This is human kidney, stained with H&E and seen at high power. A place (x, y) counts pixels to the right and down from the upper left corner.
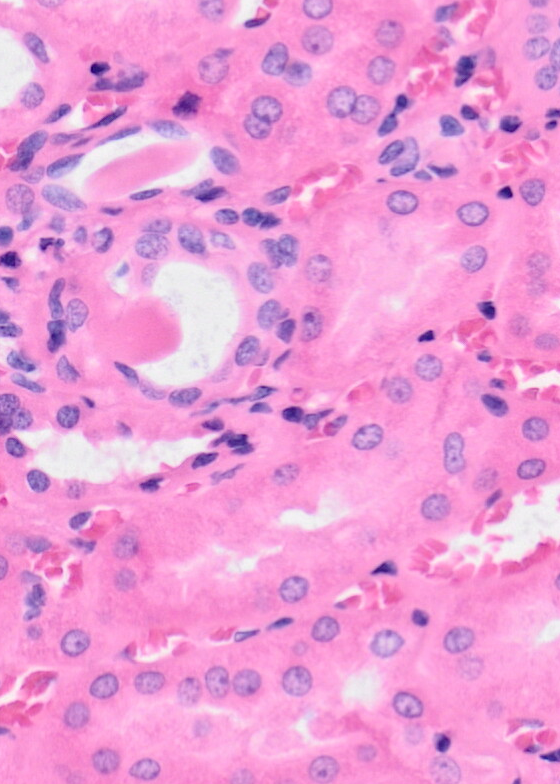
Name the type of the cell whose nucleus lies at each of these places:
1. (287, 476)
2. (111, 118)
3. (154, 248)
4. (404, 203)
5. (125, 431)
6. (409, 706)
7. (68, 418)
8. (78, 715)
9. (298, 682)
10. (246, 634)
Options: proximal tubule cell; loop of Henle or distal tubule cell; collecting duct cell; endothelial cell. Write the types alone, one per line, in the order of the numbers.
proximal tubule cell
endothelial cell
collecting duct cell
proximal tubule cell
loop of Henle or distal tubule cell
proximal tubule cell
loop of Henle or distal tubule cell
proximal tubule cell
proximal tubule cell
endothelial cell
